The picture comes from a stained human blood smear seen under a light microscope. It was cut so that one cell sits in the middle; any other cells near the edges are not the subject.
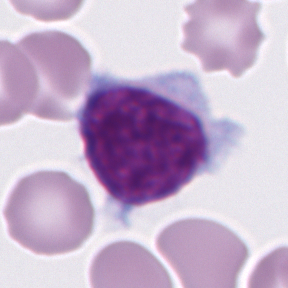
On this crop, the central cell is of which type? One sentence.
For this crop, the cell in the middle is a hairy cell.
